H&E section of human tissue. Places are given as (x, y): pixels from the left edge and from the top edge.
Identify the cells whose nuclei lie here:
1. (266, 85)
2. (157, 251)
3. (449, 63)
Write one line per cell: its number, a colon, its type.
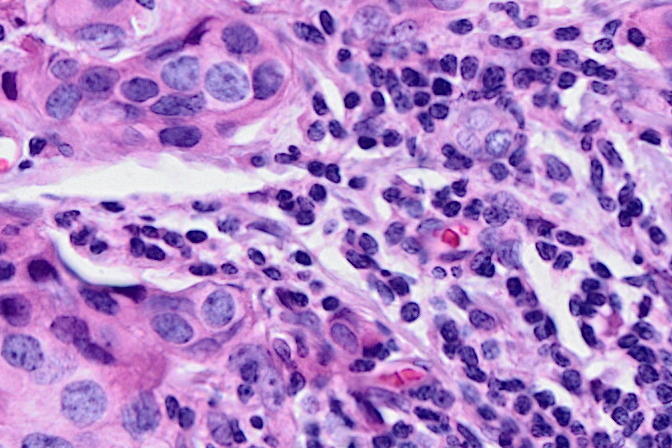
1: carcinoma cell
2: lymphocyte
3: lymphocyte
